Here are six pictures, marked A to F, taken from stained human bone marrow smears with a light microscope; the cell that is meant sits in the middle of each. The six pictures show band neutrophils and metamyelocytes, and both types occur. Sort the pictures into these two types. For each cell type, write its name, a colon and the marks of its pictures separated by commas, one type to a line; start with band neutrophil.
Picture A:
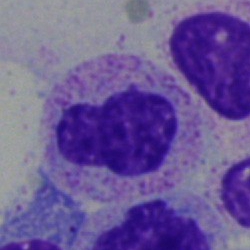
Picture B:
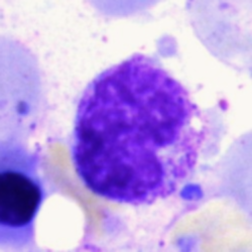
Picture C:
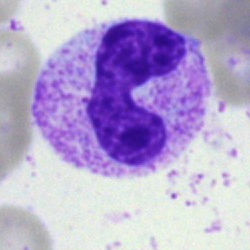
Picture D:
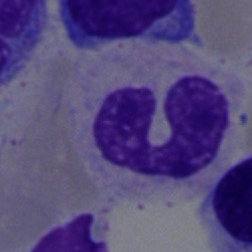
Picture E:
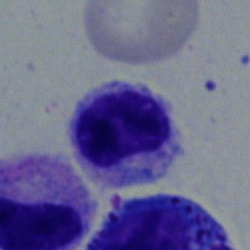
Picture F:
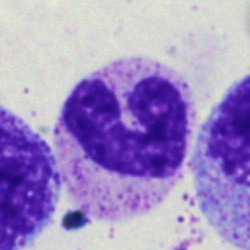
band neutrophil: C, D, F
metamyelocyte: A, B, E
